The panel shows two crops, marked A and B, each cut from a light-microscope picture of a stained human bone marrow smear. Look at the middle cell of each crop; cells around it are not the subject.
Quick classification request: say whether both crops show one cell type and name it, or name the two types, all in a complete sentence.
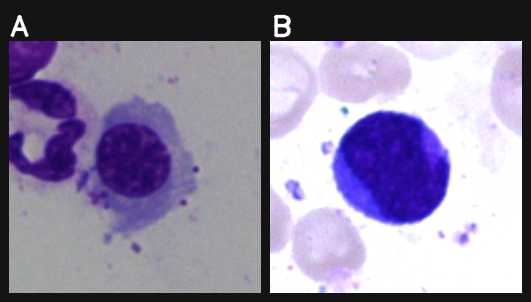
No, a blast is depicted in crop B, whereas a normoblast is depicted in crop A.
